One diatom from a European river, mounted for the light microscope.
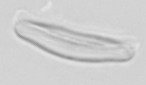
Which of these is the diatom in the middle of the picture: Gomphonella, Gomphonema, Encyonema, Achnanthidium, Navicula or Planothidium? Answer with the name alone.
Achnanthidium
